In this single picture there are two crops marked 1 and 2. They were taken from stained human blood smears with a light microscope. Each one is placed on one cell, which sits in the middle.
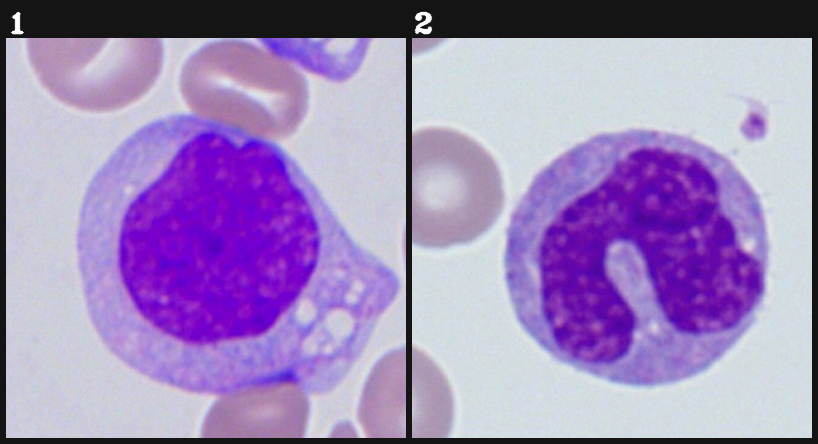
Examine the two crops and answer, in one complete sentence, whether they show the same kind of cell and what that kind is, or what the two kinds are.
Yes, the two crops both show monocytes.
